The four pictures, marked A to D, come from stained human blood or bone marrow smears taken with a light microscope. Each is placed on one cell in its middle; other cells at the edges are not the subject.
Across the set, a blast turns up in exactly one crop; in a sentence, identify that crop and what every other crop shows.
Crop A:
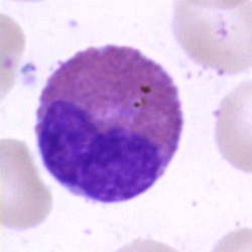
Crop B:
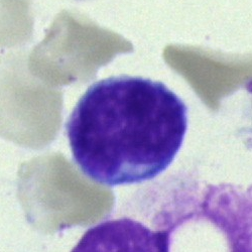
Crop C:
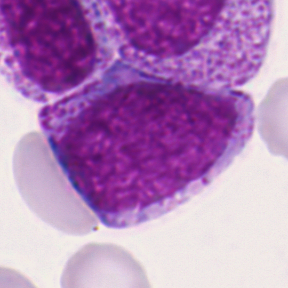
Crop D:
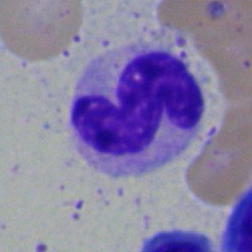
Crop B corresponds to a blast, whereas crop A is an eosinophil, crop C is a promyelocyte and crop D is a band neutrophil.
